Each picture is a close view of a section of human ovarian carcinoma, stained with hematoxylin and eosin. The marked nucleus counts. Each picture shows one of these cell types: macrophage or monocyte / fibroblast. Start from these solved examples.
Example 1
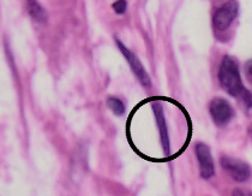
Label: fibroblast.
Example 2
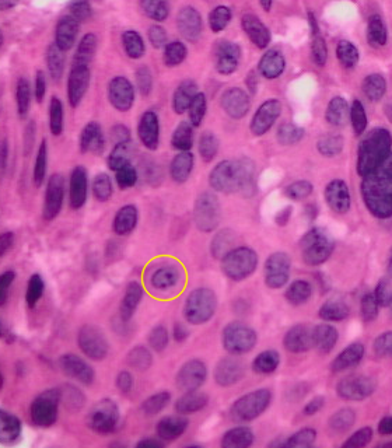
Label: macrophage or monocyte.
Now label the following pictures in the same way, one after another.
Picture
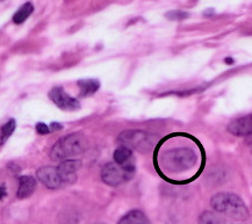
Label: macrophage or monocyte.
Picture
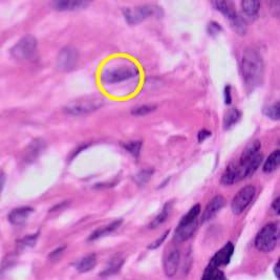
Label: fibroblast.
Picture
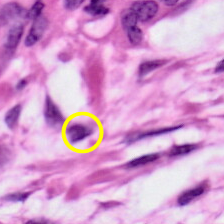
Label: fibroblast.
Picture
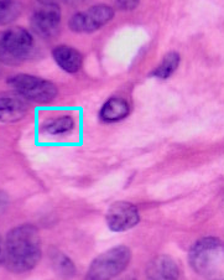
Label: macrophage or monocyte.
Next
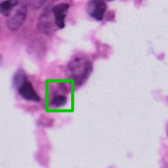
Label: macrophage or monocyte.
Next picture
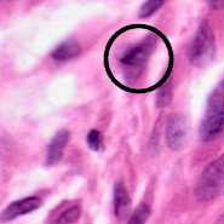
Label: fibroblast.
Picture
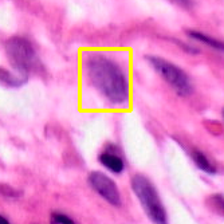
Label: fibroblast.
